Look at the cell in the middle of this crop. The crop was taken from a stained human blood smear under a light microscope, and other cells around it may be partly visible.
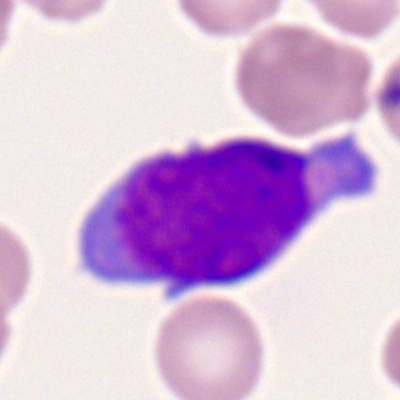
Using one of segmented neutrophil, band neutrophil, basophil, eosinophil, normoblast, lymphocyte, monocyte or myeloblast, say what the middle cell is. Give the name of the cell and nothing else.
myeloblast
